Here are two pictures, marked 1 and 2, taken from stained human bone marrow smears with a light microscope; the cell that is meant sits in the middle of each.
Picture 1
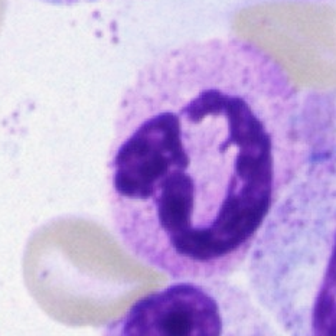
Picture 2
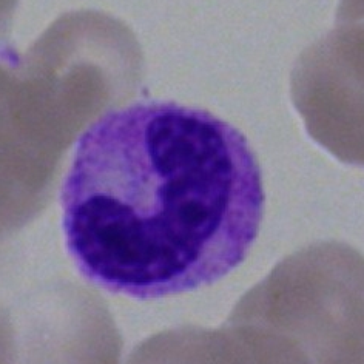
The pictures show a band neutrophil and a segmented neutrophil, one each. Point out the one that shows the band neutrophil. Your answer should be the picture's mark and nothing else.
2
